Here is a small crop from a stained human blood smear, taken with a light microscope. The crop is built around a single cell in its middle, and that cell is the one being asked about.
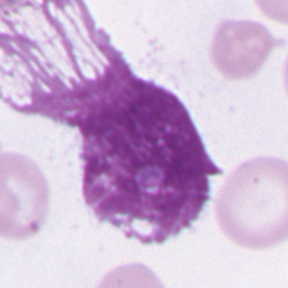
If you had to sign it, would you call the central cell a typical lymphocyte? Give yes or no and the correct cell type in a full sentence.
No, that would be a smudge cell, not a typical lymphocyte, for the cell at the centre.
